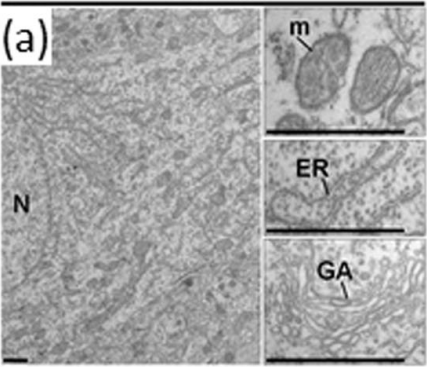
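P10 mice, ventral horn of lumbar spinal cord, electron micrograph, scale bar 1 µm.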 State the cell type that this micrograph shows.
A: Motoneuron cell body.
